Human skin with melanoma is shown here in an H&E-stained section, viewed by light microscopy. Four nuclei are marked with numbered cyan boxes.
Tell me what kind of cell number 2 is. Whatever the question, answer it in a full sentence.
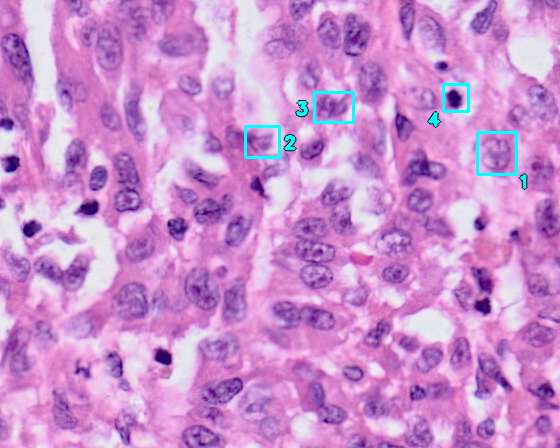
The label 2 in this section denotes a melanoma cell.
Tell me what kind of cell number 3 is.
Here the cell numbered 3 is a melanoma cell.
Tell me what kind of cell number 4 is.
The correct label for cell 4 is a lymphocyte.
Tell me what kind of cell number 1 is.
Heads up, the cell numbered 1 is a melanoma cell.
